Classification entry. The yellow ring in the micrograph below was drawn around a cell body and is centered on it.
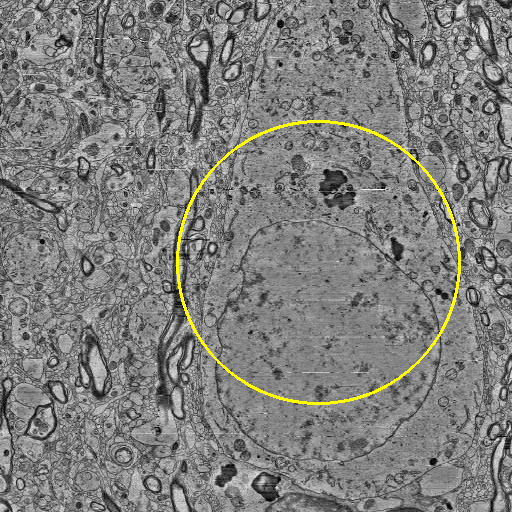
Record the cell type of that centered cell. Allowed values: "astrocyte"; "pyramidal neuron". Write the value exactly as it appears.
pyramidal neuron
